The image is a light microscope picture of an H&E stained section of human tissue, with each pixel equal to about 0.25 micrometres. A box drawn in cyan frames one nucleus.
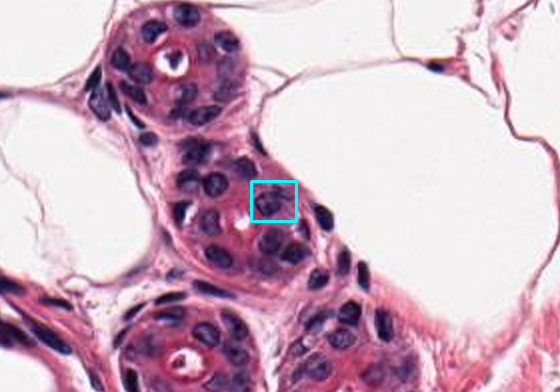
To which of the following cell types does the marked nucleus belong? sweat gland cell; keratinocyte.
sweat gland cell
